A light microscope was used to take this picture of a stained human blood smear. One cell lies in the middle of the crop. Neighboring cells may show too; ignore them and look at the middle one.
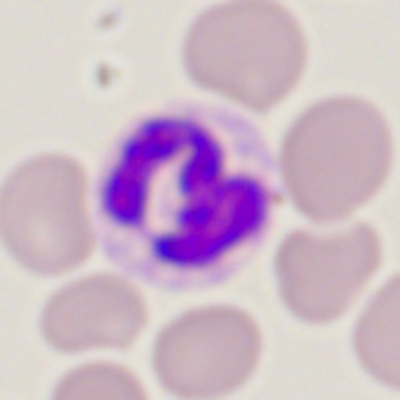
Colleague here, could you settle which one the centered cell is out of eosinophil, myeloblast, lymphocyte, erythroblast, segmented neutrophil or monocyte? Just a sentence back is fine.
The middle of this crop is occupied by a segmented neutrophil.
